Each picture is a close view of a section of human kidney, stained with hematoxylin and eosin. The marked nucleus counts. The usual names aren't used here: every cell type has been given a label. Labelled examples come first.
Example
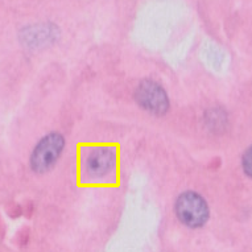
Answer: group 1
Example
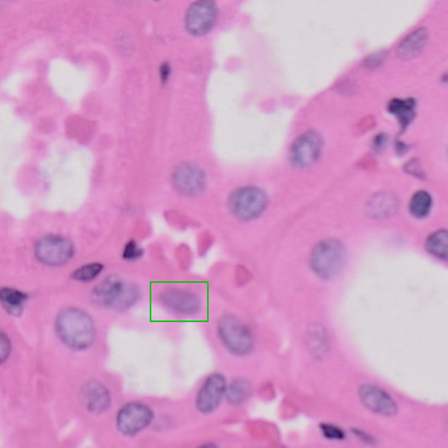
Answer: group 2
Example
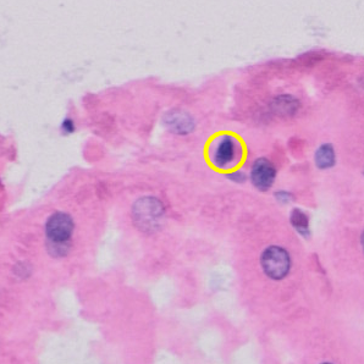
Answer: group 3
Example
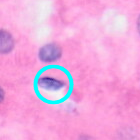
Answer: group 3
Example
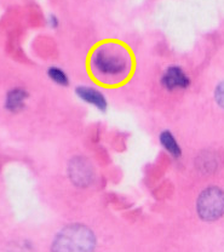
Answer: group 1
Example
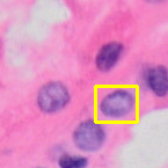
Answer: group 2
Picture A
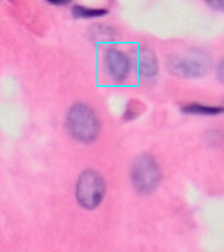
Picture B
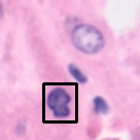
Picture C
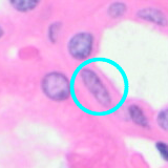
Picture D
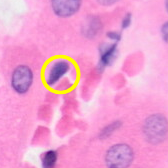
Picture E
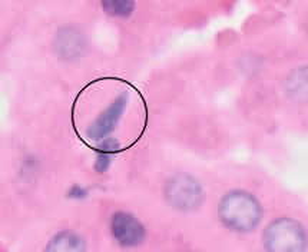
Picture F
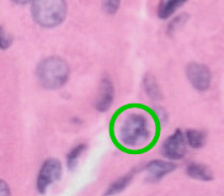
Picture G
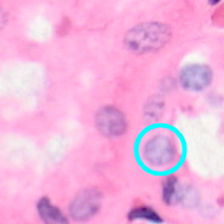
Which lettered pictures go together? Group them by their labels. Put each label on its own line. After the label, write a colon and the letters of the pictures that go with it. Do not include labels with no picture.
group 1: B
group 2: A, C, F, G
group 3: D, E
